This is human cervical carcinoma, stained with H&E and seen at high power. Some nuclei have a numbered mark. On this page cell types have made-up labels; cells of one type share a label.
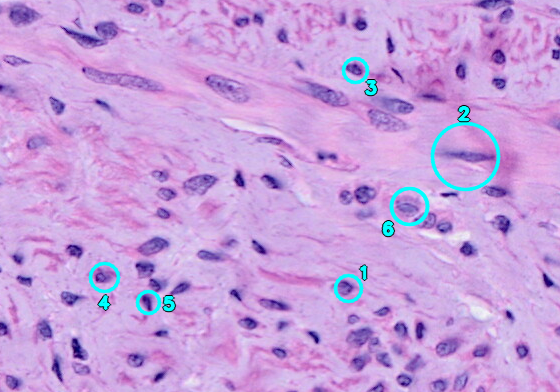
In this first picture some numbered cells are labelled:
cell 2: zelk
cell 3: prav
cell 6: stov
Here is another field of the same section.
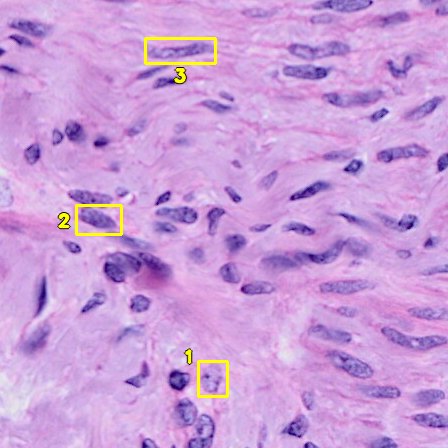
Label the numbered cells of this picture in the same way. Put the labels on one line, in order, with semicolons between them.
stov; zelk; prav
